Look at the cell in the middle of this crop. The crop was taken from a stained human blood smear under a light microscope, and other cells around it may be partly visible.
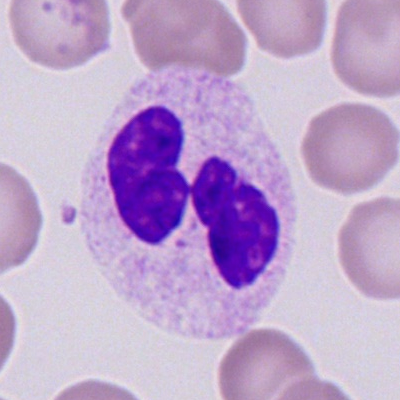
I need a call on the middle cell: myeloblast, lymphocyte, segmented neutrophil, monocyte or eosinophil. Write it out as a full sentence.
The cell under consideration, at the middle of the crop, is a segmented neutrophil.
